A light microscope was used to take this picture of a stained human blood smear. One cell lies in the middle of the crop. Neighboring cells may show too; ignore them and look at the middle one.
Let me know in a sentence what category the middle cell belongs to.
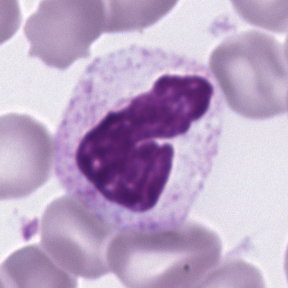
The cell in the middle of this crop is a band neutrophil.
